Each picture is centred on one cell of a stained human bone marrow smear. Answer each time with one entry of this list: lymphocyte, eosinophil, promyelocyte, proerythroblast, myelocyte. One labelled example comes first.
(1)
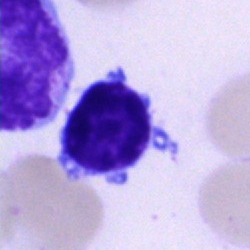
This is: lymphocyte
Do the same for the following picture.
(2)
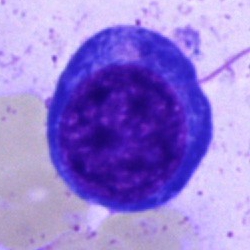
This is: proerythroblast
